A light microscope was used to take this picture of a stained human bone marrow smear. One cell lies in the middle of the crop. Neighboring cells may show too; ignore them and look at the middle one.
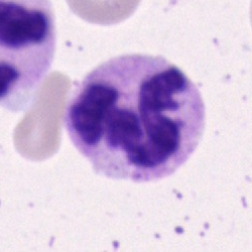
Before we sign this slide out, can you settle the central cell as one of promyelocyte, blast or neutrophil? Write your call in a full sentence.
Here the centrally located cell is a neutrophil.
